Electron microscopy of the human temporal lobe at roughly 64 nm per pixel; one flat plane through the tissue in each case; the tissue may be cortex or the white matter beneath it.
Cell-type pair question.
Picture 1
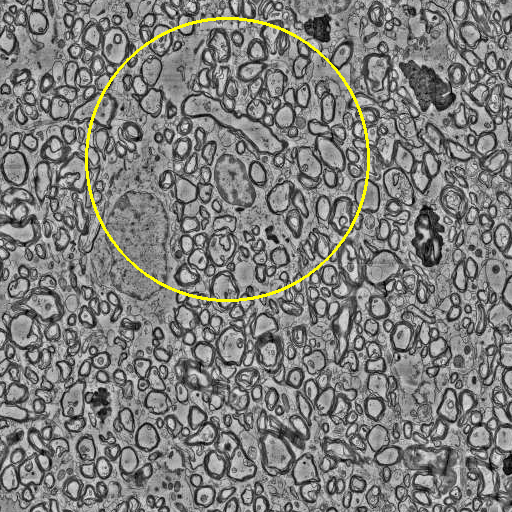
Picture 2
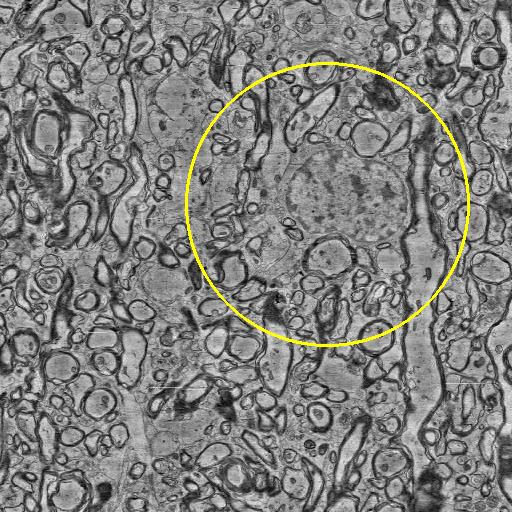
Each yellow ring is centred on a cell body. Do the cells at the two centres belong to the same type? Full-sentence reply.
No, the two cells belong to two types.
